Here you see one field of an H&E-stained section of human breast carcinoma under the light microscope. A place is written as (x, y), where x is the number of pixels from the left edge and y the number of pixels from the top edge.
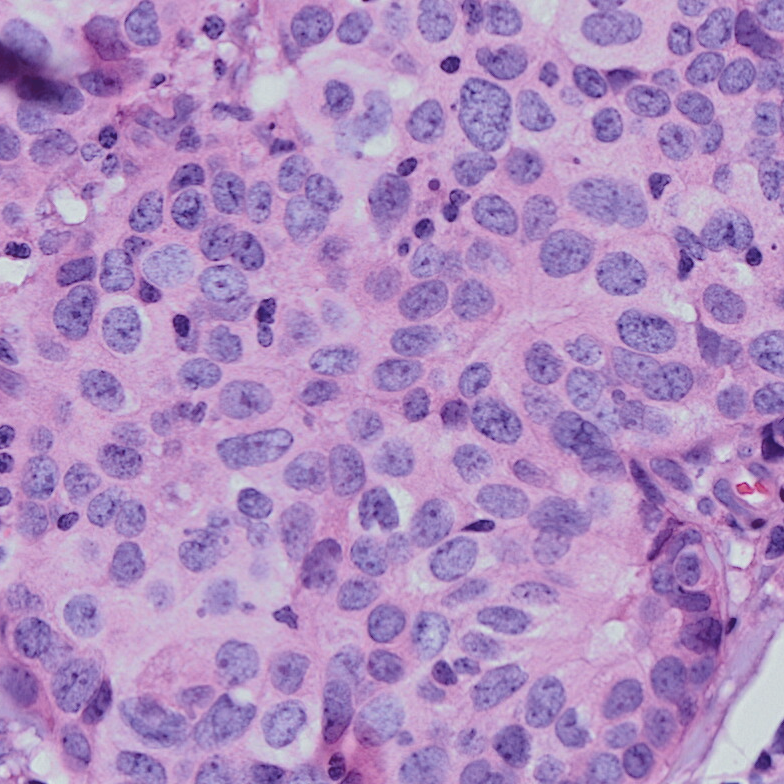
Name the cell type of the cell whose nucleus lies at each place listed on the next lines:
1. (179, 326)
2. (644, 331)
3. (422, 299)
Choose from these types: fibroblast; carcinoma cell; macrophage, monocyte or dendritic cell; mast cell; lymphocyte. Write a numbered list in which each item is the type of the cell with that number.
1. lymphocyte
2. carcinoma cell
3. carcinoma cell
